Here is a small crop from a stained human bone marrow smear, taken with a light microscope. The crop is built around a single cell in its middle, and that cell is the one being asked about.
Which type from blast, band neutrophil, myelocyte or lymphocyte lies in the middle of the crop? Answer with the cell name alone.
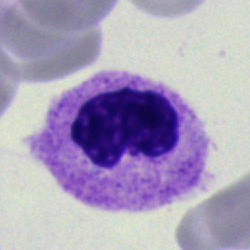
band neutrophil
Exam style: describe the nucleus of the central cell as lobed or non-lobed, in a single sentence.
Round, oval or kidney-shaped, the nucleus is one compact mass.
